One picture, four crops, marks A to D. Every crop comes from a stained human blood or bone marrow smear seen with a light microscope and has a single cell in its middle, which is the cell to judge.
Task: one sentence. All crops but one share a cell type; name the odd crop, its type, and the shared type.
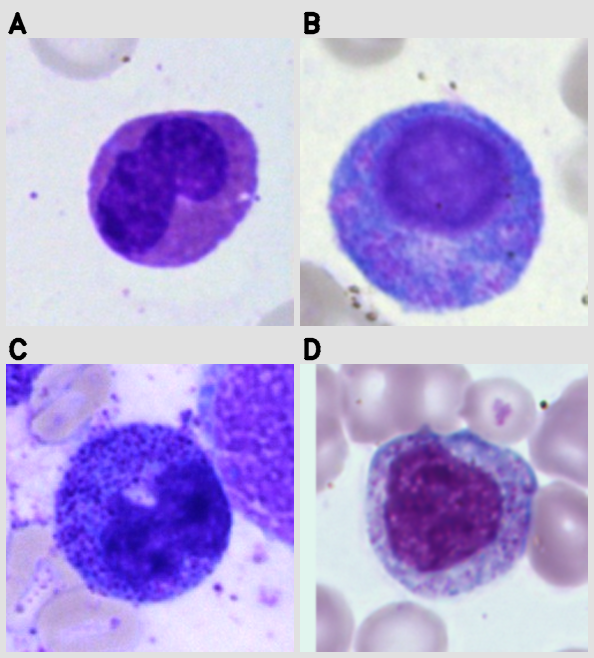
Crop A is the one to flag: it is an eosinophil, and the rest show promyelocytes.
